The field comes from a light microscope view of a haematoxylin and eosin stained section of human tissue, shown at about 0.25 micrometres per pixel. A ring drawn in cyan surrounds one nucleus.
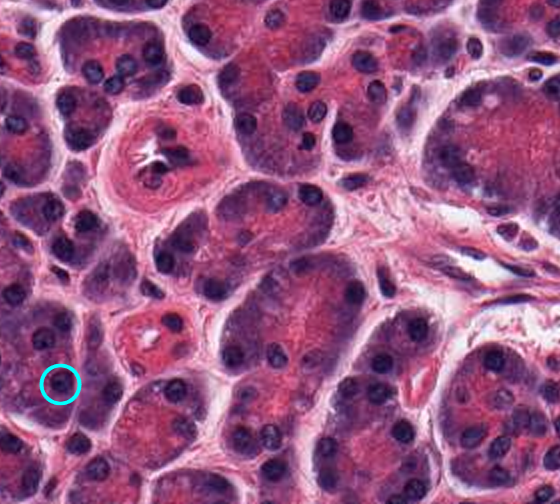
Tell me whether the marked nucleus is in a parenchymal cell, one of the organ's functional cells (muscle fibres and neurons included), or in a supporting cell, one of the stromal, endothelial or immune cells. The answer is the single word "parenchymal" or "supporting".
parenchymal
